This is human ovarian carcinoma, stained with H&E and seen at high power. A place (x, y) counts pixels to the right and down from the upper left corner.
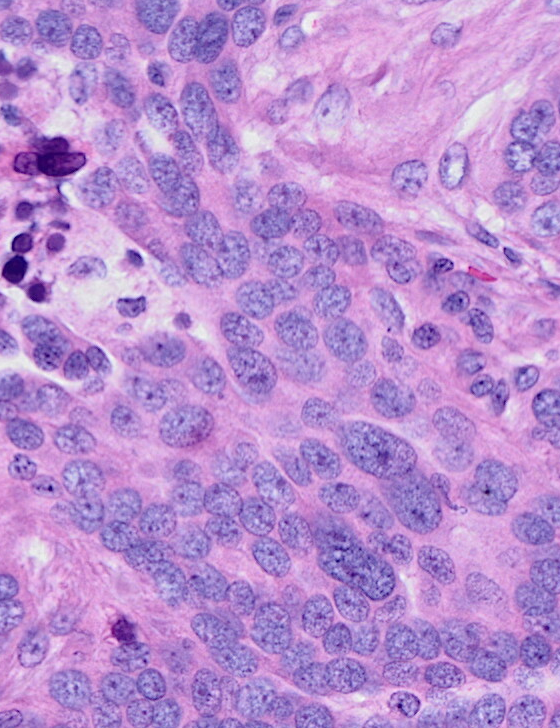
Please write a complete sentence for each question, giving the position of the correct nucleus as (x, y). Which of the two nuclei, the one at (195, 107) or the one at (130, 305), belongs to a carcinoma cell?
Only the nucleus at (195, 107), of the two, belongs to a carcinoma cell.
